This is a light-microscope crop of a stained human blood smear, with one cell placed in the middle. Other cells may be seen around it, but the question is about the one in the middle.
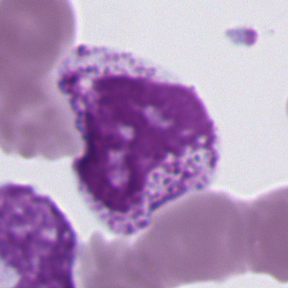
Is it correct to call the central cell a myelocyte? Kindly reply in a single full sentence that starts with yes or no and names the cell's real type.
Yes, the one cell at the centre is a myelocyte.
